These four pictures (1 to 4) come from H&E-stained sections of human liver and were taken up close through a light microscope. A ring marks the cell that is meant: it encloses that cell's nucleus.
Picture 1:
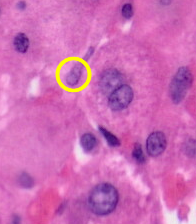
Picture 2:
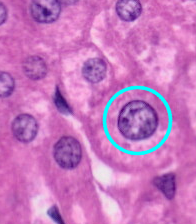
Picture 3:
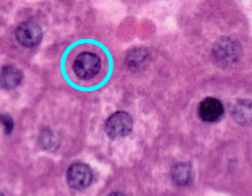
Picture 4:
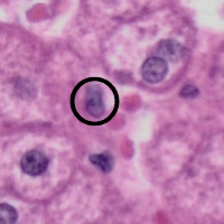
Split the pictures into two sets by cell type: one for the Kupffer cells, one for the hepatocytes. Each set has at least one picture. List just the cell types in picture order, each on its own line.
Kupffer cell
hepatocyte
hepatocyte
Kupffer cell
